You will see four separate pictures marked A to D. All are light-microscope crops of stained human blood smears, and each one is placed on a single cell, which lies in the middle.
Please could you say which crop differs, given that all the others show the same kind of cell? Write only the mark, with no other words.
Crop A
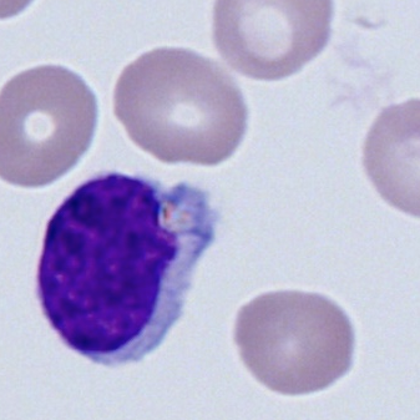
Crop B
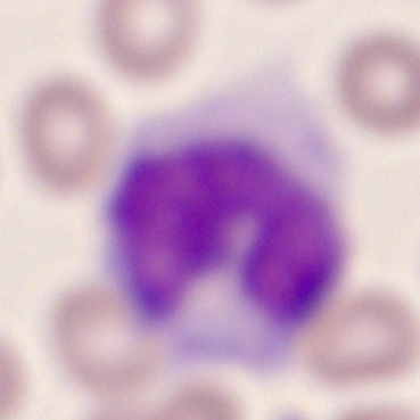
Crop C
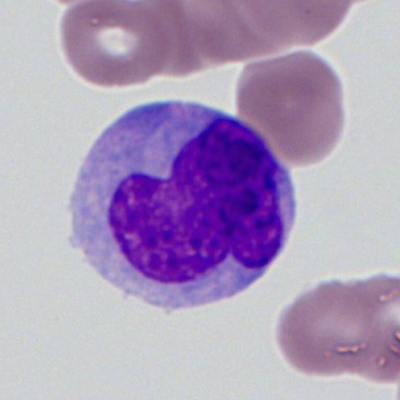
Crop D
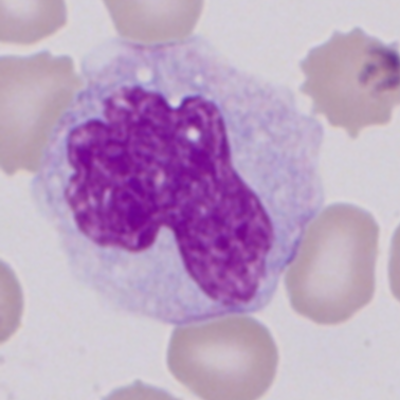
A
